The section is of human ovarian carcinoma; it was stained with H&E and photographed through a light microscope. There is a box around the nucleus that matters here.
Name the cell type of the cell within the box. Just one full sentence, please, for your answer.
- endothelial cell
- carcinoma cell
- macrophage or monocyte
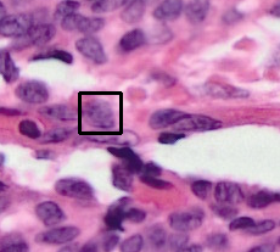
The identity of the cell within the box is that of an endothelial cell.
